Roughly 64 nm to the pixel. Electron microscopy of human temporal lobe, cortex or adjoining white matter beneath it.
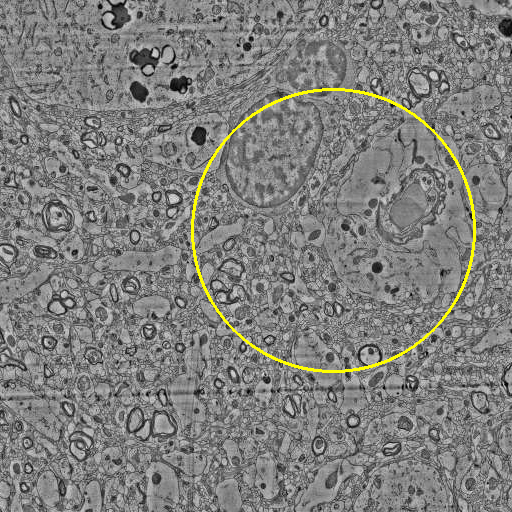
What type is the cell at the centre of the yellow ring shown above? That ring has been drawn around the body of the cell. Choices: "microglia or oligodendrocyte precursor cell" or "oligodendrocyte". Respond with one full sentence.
My answer is that a microglial cell or oligodendrocyte precursor cell lies at the centre of the yellow ring above.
